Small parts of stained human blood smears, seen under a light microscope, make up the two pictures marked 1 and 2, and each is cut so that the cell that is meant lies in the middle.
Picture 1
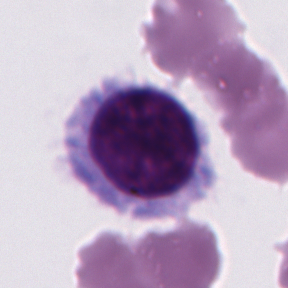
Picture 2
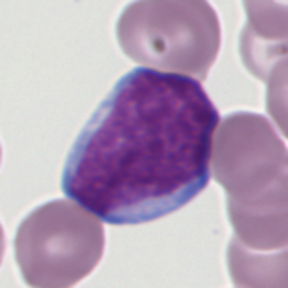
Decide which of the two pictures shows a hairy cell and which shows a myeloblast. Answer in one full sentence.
It is picture 1 that shows a hairy cell, and picture 2 that shows a myeloblast.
